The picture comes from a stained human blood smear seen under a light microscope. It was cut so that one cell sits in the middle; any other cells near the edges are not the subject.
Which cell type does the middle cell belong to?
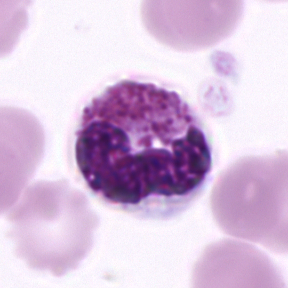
eosinophil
